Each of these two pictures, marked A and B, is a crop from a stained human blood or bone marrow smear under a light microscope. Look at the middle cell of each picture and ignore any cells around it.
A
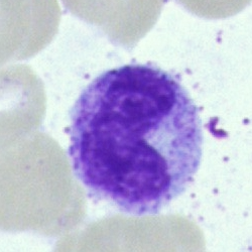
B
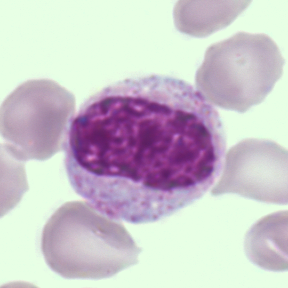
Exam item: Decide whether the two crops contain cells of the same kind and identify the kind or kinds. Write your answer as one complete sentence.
Yes, the cells that both crops show at the centre are metamyelocytes.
